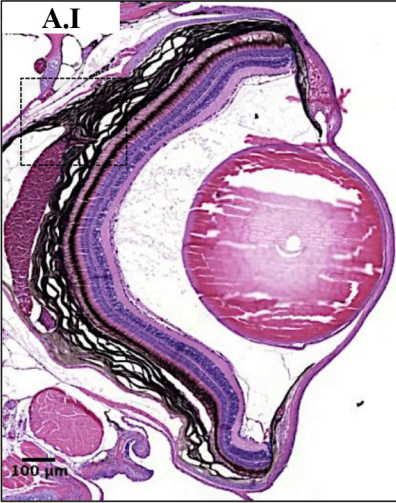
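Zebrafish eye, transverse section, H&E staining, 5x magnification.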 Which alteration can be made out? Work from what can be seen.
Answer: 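The pigmented layer behind the retina is thick and made of many wavy black bands. The eye otherwise keeps its retina layers and lens. That points to this answer: choroidal hyperplasia.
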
